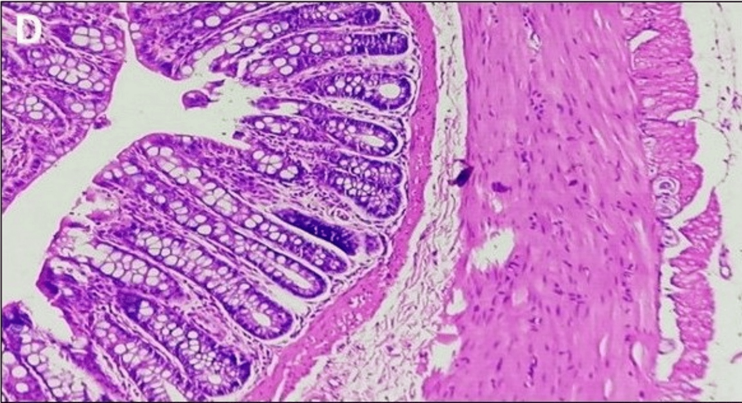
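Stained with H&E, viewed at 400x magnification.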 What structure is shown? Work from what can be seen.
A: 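Regular, parallel tubular glands lined by many goblet cells. The glands open onto a central lumen. So: crypt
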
